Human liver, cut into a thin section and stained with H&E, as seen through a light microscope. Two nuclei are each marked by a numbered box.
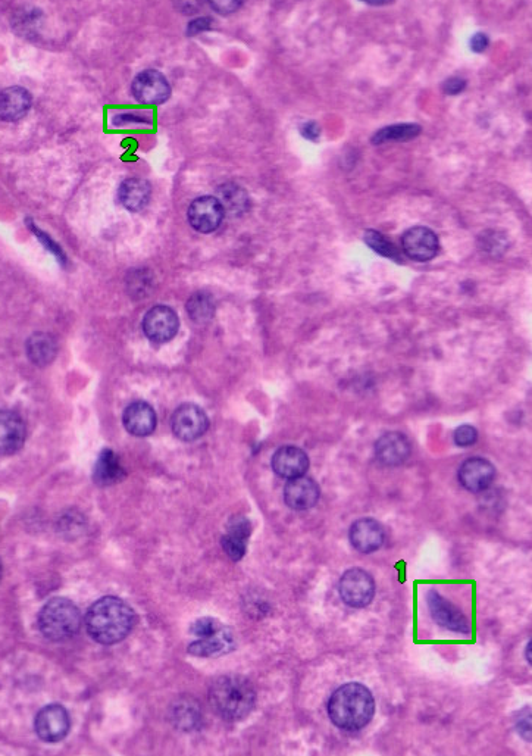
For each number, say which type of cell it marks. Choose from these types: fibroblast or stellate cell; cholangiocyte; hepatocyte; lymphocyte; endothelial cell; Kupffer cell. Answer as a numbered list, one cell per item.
1. Kupffer cell
2. endothelial cell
